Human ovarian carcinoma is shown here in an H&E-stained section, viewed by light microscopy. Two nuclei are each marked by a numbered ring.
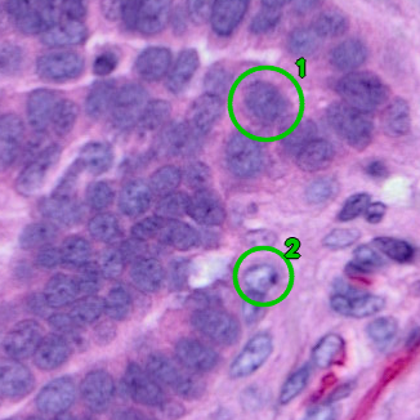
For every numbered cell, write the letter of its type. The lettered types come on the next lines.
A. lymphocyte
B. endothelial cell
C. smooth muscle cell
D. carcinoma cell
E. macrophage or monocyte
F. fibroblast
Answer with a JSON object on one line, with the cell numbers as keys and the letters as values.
{"1": "D", "2": "F"}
